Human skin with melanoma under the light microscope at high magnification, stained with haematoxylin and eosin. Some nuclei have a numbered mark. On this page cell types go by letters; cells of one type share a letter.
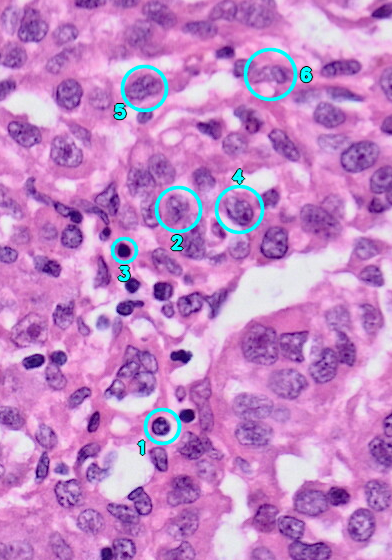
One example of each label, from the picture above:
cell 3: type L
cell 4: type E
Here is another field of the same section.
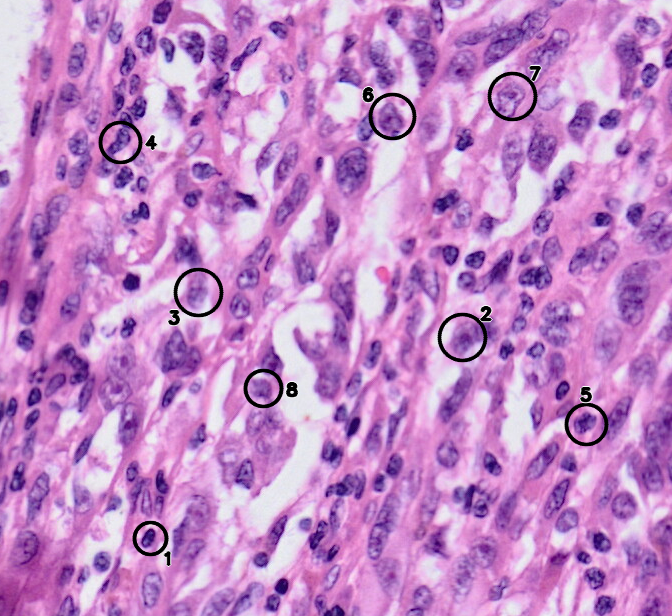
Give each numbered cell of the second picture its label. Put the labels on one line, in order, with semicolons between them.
type L; type E; type E; type L; type L; type E; type E; type E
